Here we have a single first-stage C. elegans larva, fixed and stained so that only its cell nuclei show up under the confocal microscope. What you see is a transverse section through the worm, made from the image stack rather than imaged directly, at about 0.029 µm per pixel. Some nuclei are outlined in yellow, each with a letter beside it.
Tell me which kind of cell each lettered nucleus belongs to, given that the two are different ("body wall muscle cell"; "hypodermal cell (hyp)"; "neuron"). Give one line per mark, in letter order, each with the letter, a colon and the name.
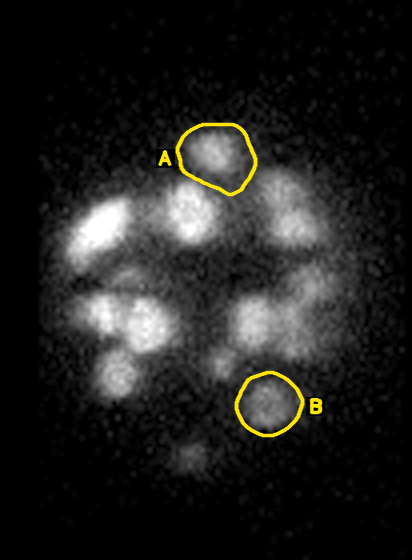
A: hypodermal cell (hyp)
B: body wall muscle cell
